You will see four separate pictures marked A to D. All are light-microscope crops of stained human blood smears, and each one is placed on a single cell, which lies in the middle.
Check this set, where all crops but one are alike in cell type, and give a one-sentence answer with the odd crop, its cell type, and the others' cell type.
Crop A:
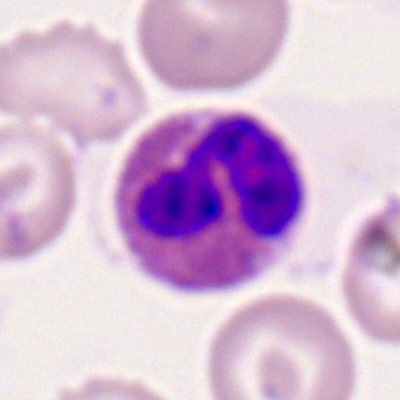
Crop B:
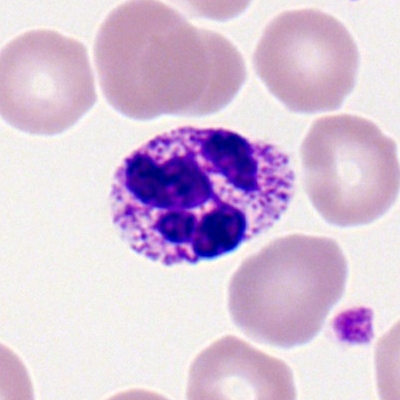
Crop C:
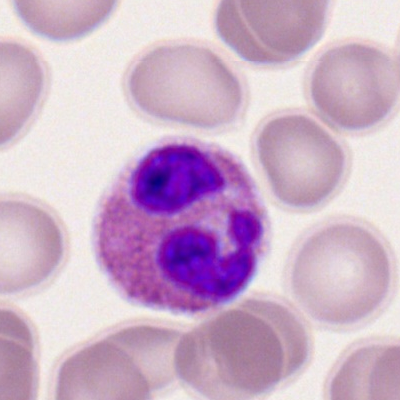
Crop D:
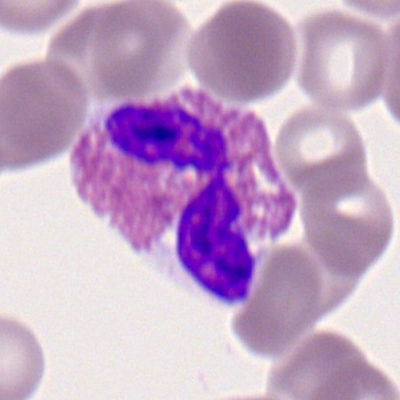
Crop B presents a segmented neutrophil, while eosinophils are presented by all other crops.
